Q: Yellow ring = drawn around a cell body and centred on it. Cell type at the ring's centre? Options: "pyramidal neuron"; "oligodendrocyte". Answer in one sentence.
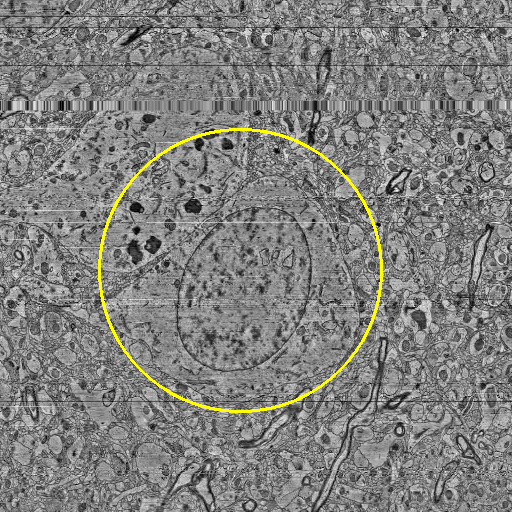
Centred in the ring is a pyramidal neuron.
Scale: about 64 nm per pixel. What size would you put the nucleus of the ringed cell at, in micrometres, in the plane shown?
In this plane, approximately 11 by 8 micrometers.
